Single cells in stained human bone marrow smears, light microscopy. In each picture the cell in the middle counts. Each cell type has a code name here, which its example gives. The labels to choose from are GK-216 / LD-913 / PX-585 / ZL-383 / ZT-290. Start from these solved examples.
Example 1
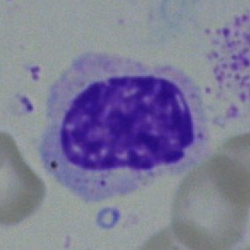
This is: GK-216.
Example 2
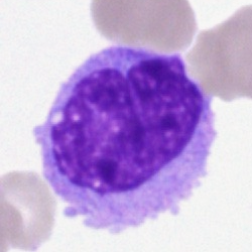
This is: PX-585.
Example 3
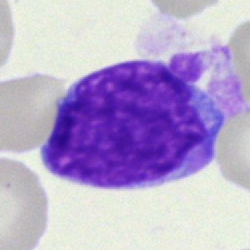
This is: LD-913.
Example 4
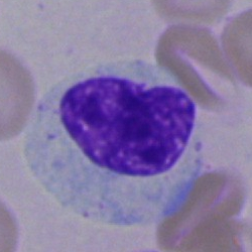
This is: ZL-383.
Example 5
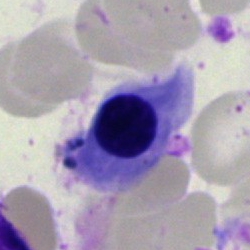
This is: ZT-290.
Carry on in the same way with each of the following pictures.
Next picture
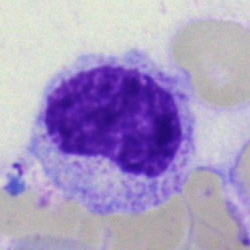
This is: ZL-383.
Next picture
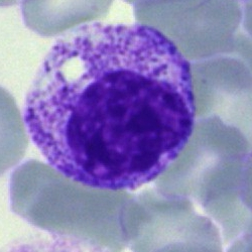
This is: GK-216.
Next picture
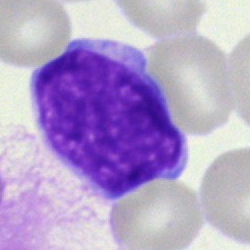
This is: LD-913.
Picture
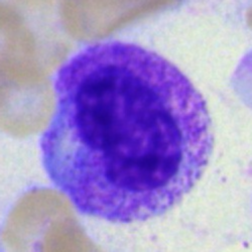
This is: ZL-383.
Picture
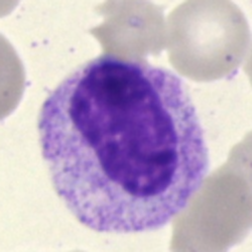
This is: ZL-383.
